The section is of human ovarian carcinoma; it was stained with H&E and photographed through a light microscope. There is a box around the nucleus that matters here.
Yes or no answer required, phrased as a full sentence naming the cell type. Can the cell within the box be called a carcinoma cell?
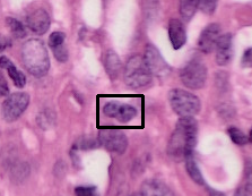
No, the cell within the box is not a carcinoma cell; a macrophage or monocyte is what it is.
